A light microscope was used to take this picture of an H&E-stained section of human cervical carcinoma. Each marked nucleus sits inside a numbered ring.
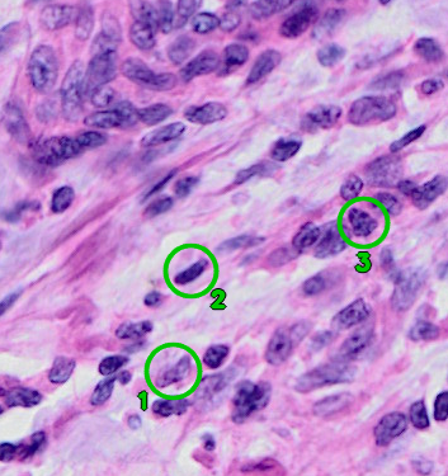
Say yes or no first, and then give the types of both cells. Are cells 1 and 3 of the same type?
No, the cell marked 1 is a macrophage or monocyte, and the cell marked 3 is a lymphocyte.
